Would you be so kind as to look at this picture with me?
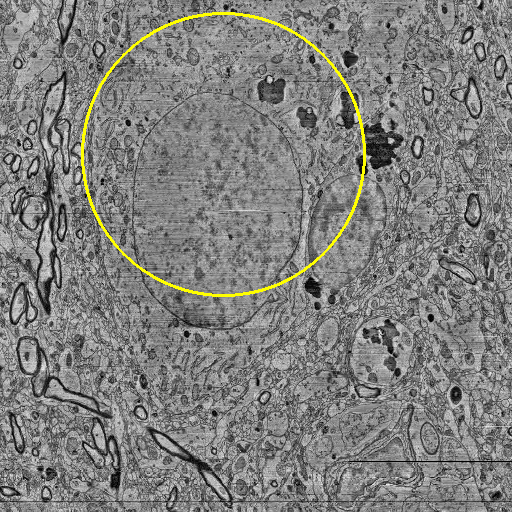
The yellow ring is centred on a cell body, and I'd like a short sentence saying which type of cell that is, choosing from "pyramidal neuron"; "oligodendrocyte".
The cell body in the ring belongs to a pyramidal neuron.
